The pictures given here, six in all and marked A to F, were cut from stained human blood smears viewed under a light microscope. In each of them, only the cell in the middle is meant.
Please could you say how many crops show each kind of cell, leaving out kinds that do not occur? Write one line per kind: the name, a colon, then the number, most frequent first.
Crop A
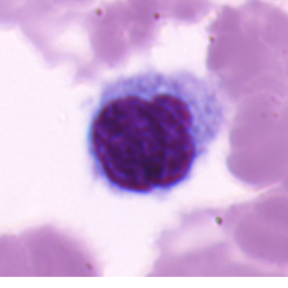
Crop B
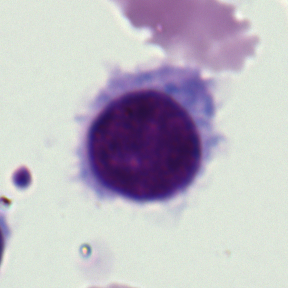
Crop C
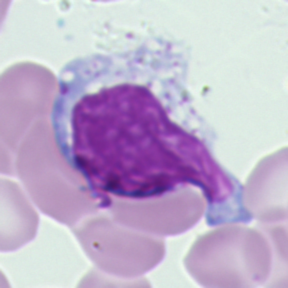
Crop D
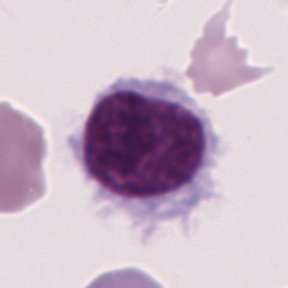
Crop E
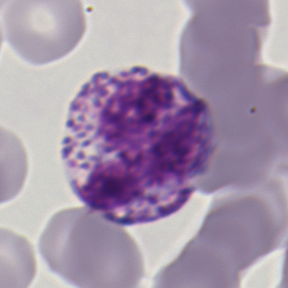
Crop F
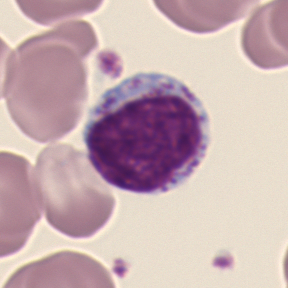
hairy cell: 3
large granular lymphocyte: 2
basophil: 1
